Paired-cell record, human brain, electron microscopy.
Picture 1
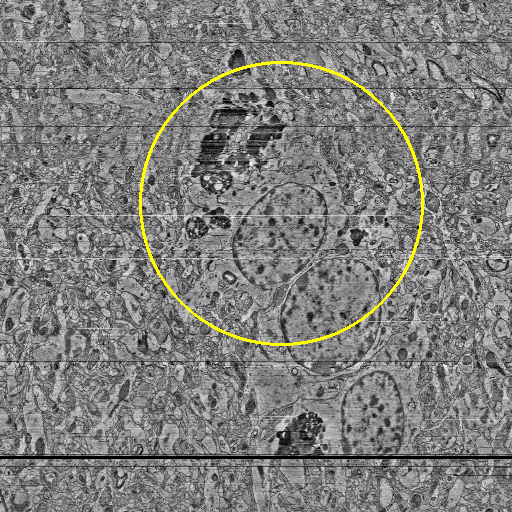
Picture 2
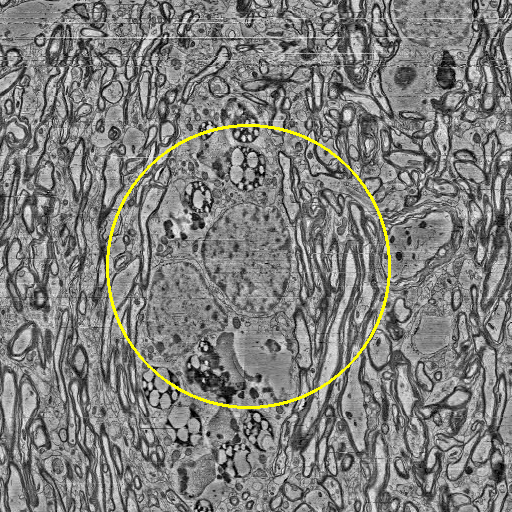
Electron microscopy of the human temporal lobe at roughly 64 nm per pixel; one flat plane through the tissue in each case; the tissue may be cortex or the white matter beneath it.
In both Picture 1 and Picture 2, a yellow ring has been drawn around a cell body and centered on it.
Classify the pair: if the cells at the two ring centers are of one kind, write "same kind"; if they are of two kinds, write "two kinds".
same kind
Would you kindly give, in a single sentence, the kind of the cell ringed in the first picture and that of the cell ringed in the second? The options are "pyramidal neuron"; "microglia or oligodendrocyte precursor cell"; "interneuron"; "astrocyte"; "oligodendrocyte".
Each cell at the centre of a ring is an astrocyte.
